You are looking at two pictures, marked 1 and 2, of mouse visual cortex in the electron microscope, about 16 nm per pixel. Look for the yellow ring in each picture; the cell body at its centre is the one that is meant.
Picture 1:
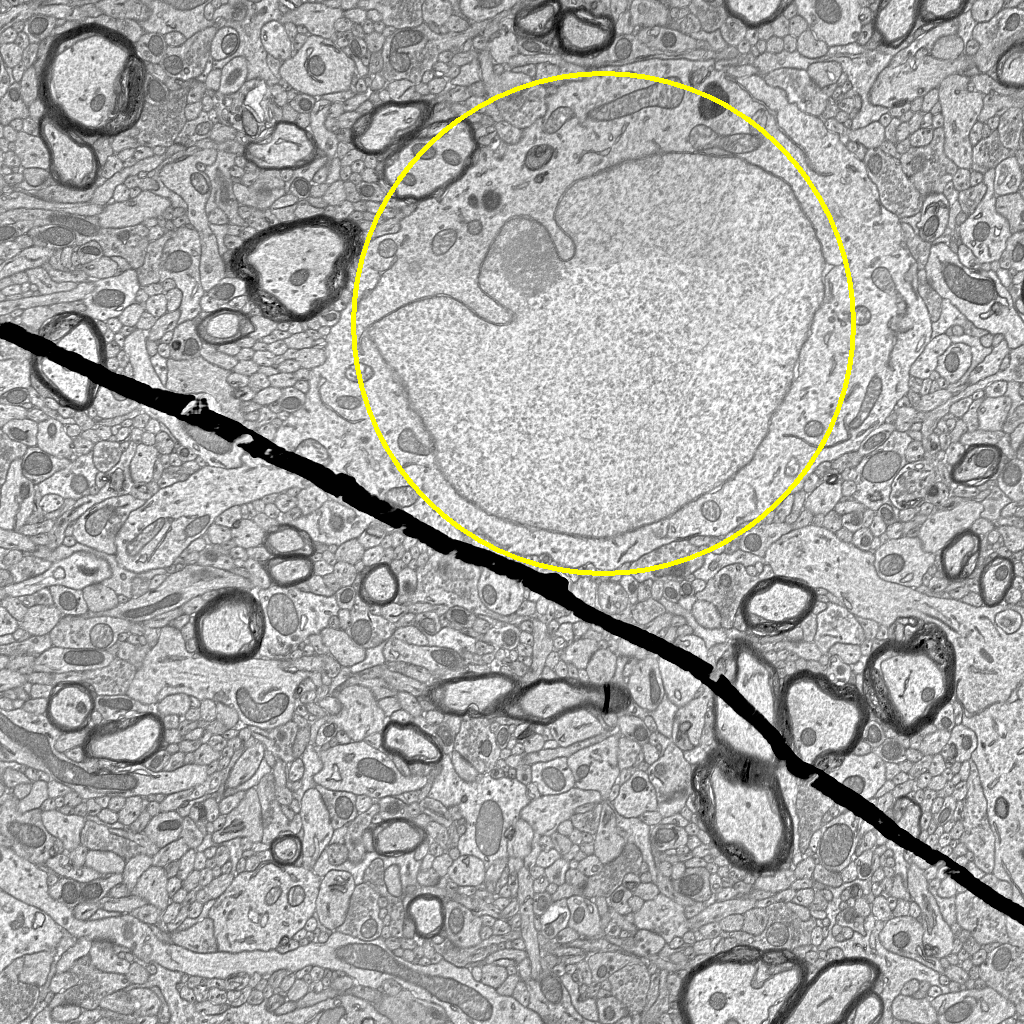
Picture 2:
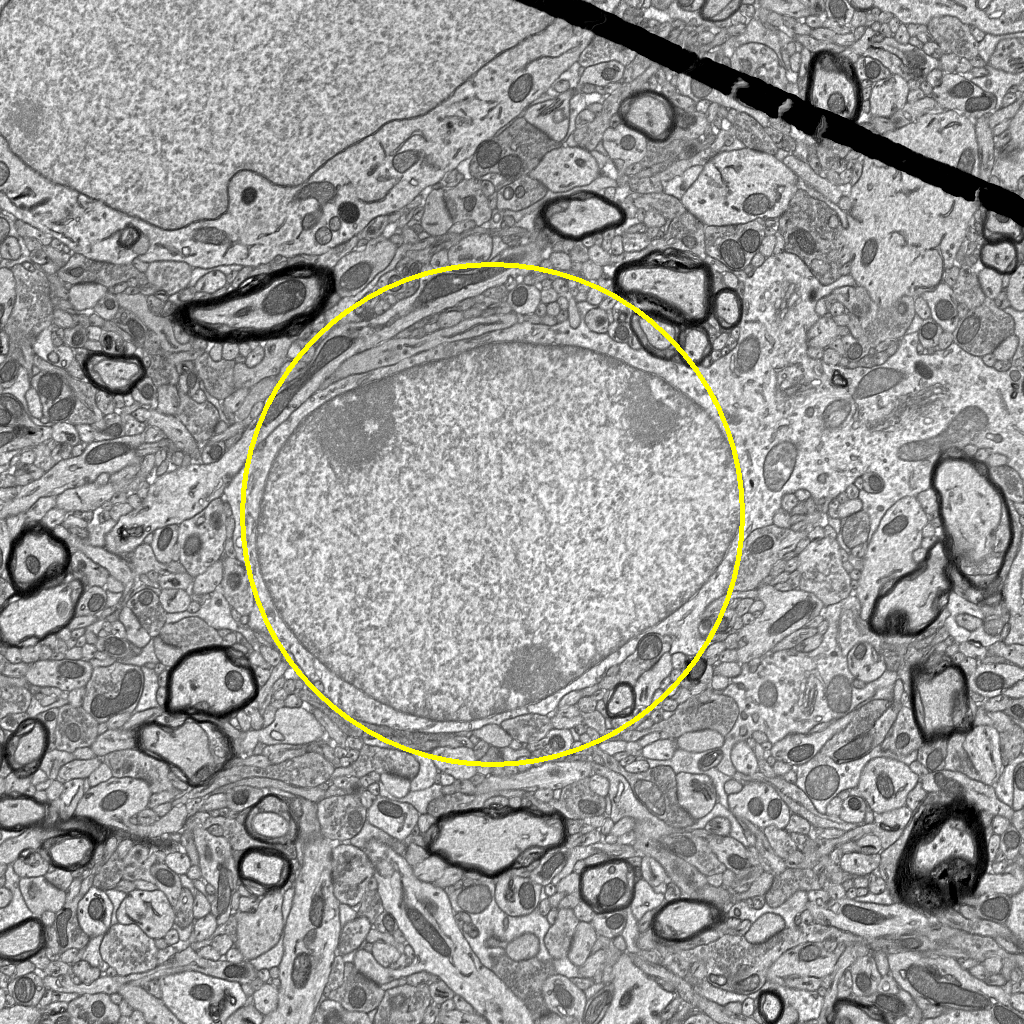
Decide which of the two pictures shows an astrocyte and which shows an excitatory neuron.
It is picture 1 that shows an excitatory neuron, and picture 2 that shows an astrocyte.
